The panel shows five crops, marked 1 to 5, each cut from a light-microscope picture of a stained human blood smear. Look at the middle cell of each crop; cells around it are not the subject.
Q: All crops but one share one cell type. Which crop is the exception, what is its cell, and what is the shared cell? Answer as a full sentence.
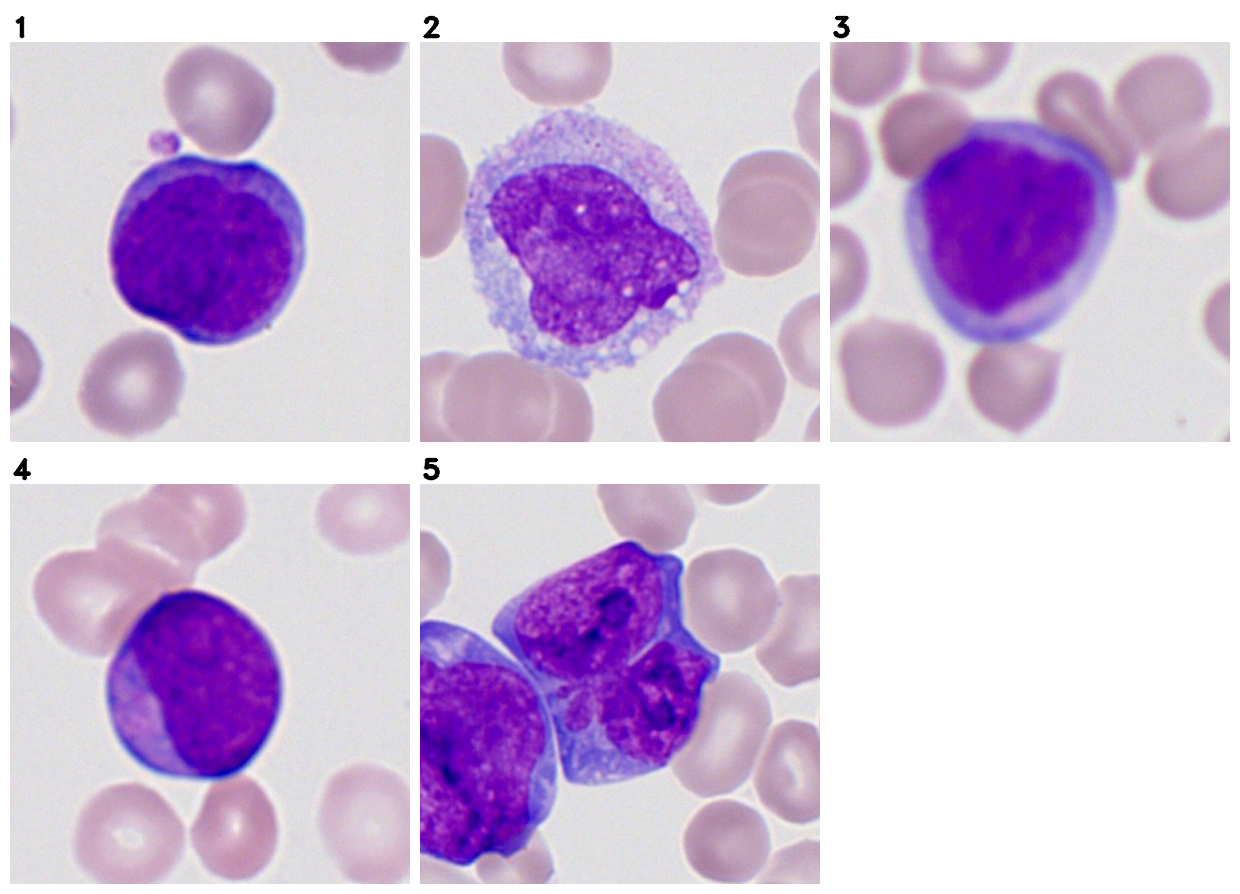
Apart from crop 2, a monocyte, the crops all show myeloblasts.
